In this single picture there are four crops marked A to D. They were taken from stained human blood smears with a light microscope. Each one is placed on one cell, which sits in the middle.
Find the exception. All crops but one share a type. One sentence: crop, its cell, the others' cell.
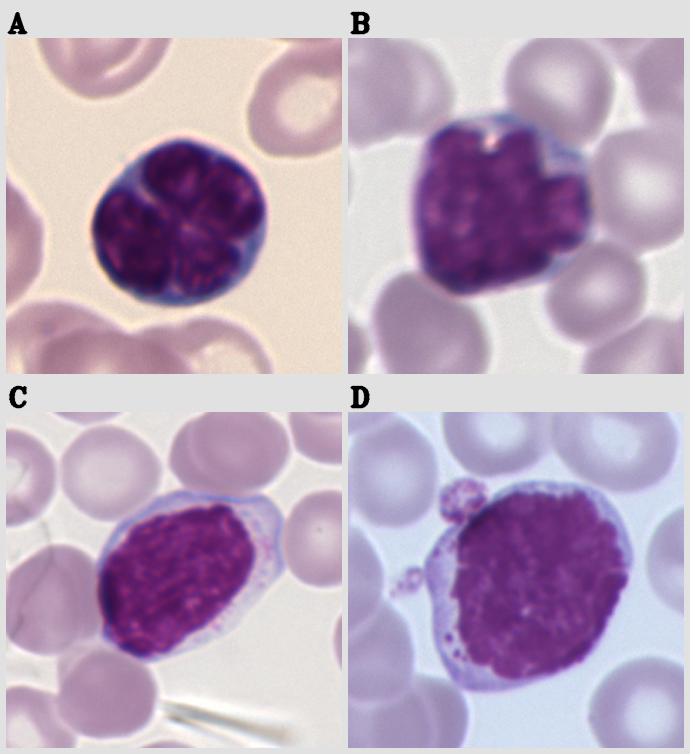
Crop A stands apart as a typical lymphocyte, whereas the remaining crops all show large granular lymphocytes.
